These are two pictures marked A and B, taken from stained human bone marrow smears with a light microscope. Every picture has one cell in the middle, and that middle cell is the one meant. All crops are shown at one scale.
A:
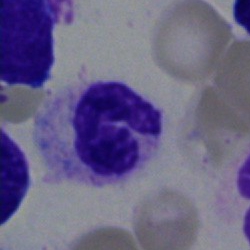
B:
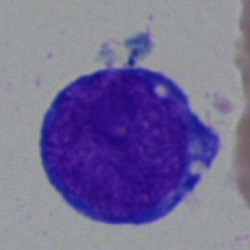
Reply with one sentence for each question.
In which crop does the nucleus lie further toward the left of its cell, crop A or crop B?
It is the nucleus in crop B that lies further toward the left of its cell.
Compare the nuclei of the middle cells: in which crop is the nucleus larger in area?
Larger is the nucleus in crop B, at roughly 3 times the area of the other.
